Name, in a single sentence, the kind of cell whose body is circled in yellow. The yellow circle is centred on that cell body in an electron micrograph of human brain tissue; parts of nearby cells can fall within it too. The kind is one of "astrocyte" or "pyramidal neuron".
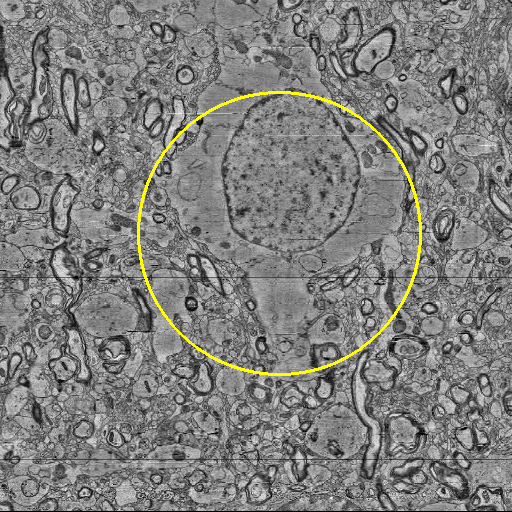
The circled cell body belongs to an astrocyte.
